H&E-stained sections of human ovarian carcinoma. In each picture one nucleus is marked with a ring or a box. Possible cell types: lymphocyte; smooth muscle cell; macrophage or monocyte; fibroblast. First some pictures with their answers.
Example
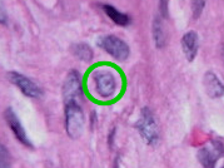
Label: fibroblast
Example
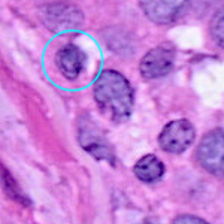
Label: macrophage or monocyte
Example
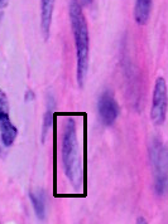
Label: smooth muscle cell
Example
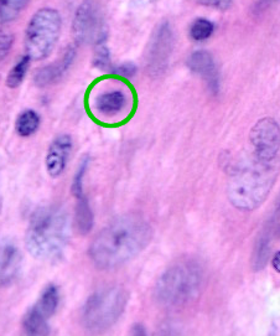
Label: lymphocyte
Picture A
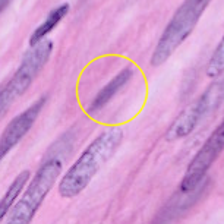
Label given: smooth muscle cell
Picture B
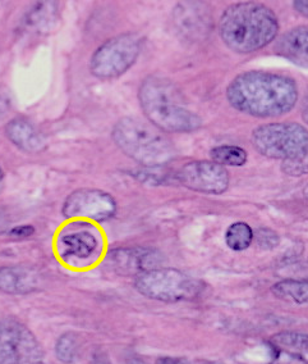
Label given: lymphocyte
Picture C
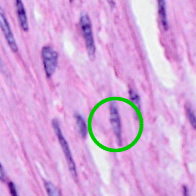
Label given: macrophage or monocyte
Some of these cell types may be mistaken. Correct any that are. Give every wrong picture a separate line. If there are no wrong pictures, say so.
B: macrophage or monocyte, not lymphocyte
C: fibroblast, not macrophage or monocyte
